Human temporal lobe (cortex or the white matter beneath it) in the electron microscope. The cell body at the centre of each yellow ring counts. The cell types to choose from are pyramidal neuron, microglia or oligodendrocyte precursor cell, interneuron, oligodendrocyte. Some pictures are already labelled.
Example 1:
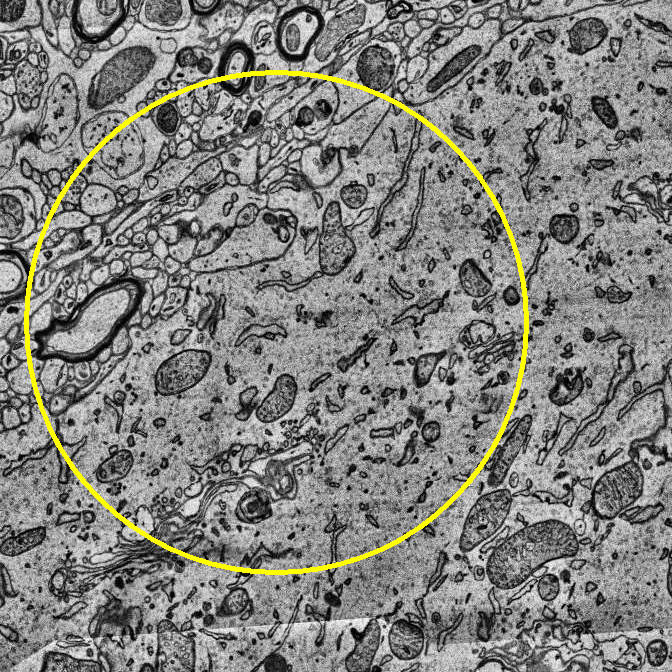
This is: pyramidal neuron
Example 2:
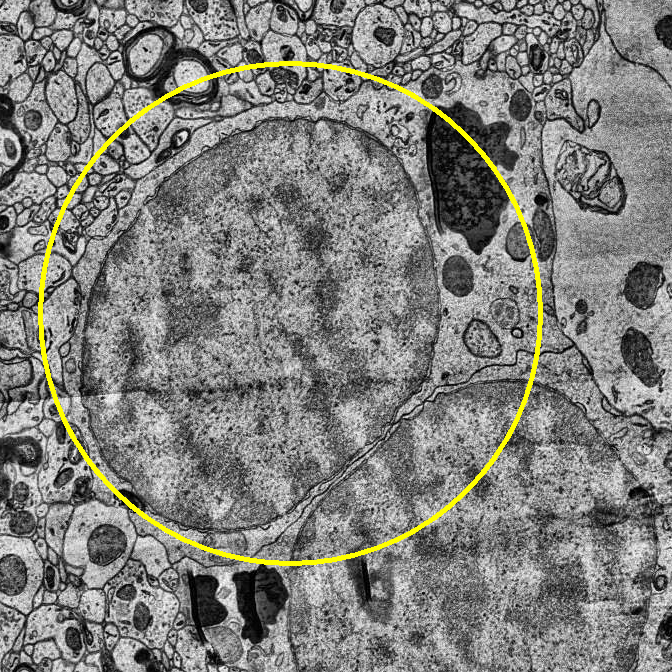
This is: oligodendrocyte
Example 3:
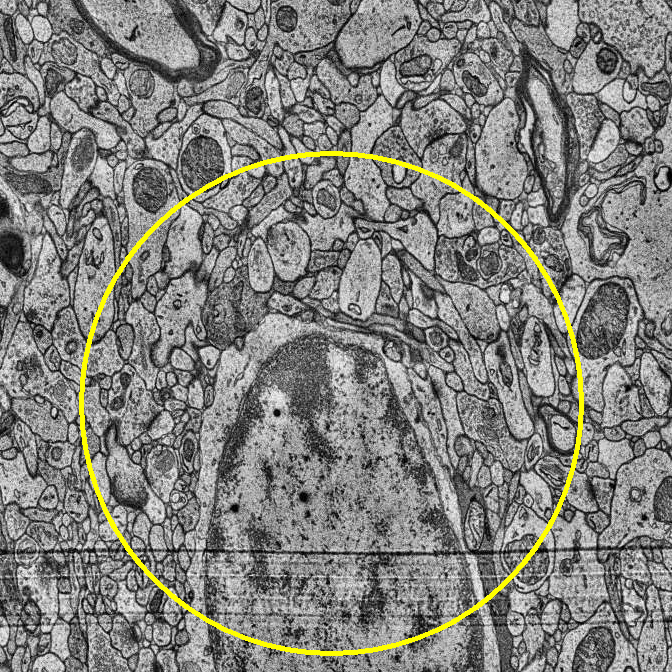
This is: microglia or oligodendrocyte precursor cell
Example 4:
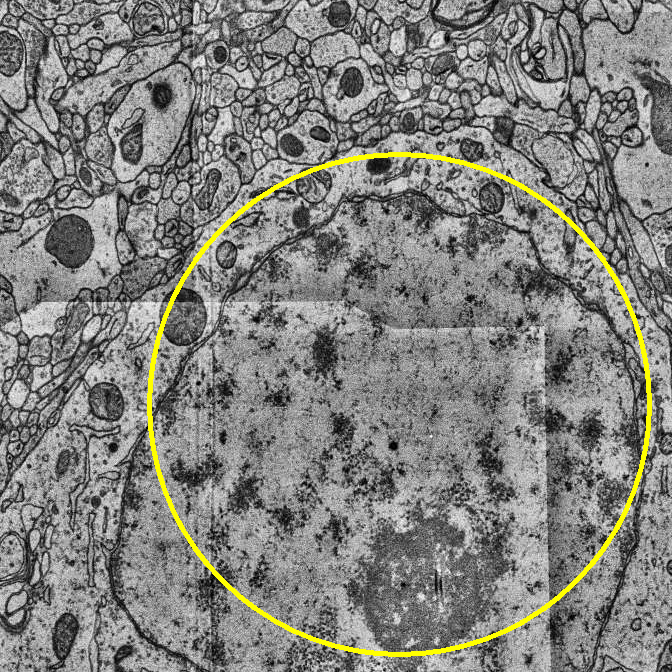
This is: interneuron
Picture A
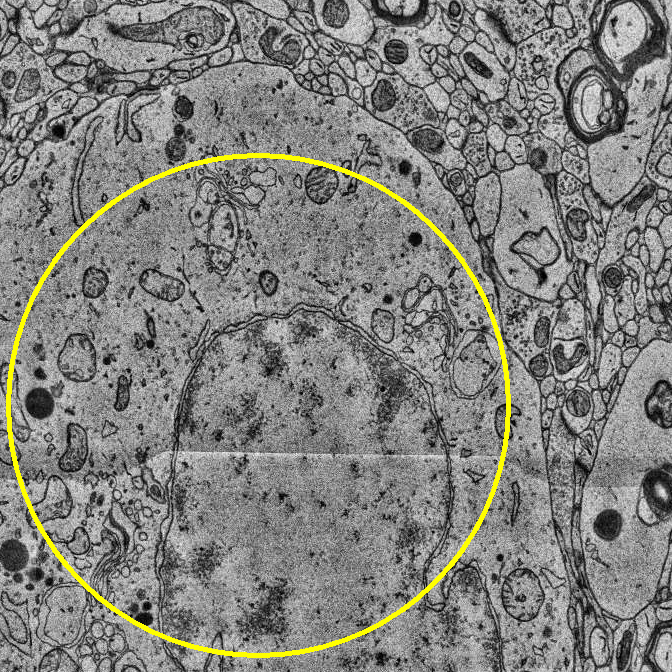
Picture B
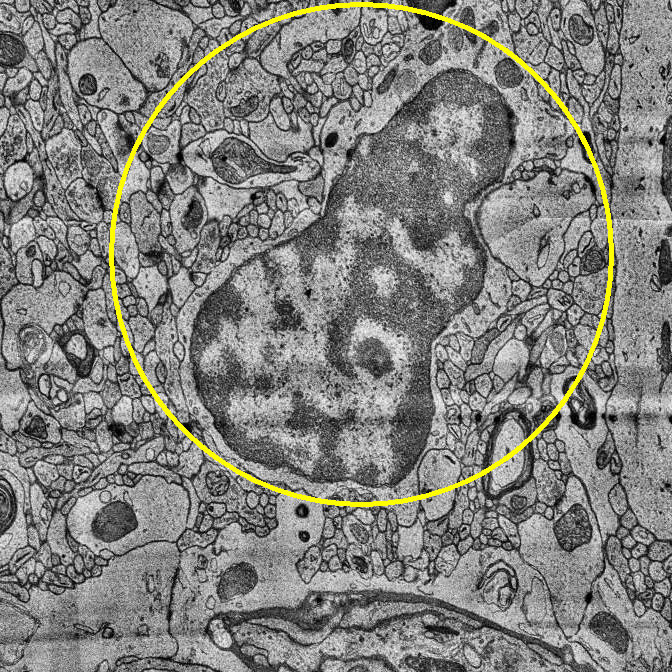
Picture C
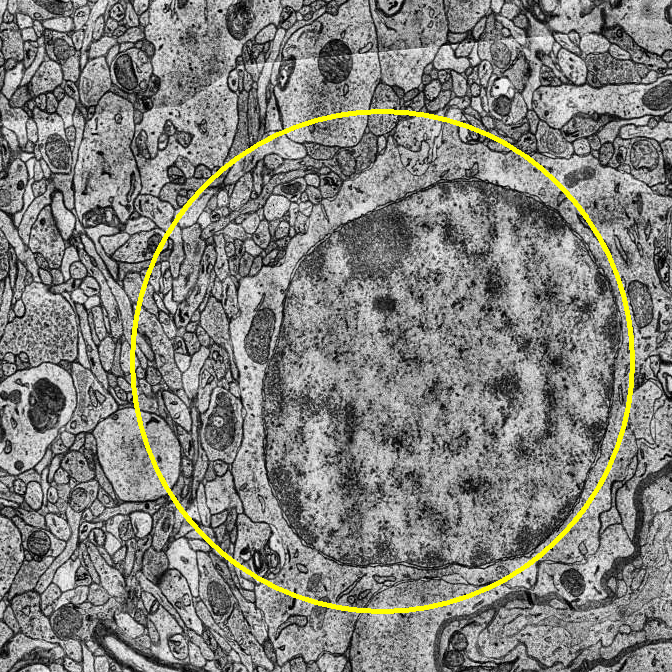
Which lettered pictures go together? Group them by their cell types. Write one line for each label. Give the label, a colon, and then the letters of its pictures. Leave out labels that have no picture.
microglia or oligodendrocyte precursor cell: B, C
interneuron: A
